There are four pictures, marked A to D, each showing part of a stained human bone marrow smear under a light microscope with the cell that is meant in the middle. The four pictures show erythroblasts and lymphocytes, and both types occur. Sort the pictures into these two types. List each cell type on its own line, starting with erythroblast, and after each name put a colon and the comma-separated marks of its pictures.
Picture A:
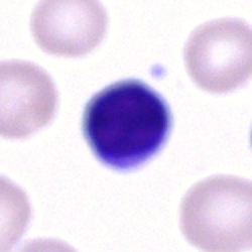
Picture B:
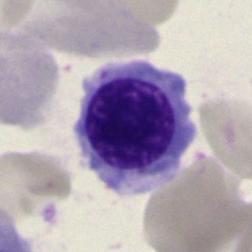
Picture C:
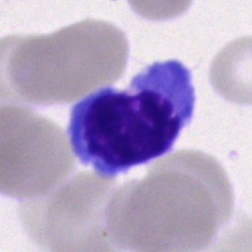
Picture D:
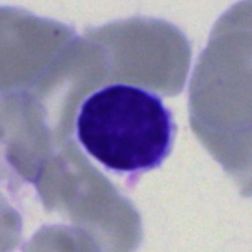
erythroblast: B, C
lymphocyte: A, D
